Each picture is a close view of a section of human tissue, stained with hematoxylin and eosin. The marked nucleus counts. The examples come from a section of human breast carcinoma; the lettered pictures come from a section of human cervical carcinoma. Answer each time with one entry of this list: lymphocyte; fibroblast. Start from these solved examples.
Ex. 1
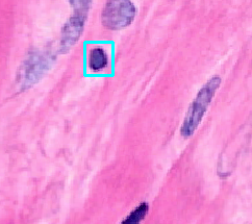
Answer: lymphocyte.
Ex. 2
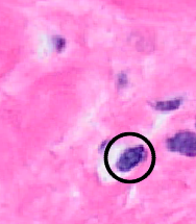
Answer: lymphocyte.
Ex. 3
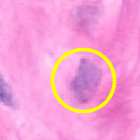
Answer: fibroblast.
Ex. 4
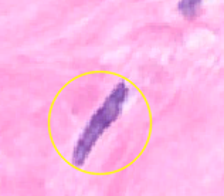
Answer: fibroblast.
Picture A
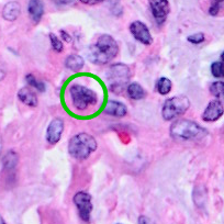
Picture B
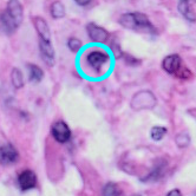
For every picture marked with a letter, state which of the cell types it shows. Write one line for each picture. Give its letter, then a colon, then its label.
A: lymphocyte.
B: lymphocyte.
